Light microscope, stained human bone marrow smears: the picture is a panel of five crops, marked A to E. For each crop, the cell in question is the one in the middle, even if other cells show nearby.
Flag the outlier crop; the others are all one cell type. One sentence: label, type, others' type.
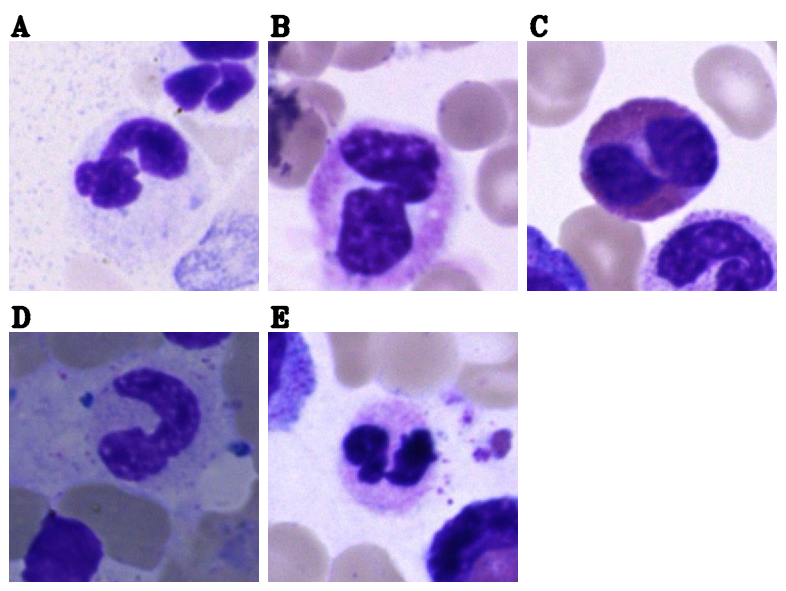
Among the crops, crop C is unique in showing an eosinophil; the others show segmented neutrophils.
